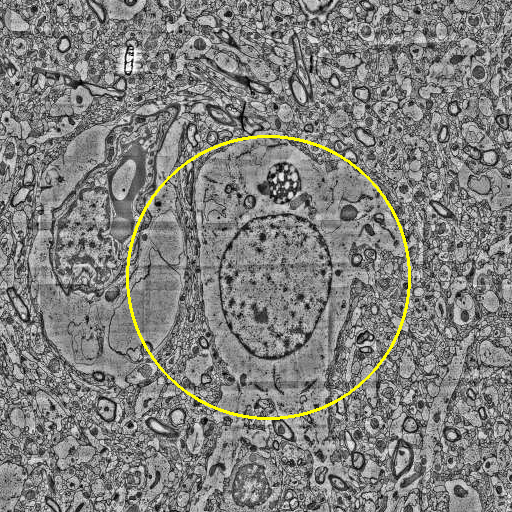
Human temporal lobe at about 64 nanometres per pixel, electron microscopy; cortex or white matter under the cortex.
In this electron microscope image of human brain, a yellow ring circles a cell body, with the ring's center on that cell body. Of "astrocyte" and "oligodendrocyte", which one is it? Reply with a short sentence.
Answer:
It is an astrocyte at the center of the ring.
